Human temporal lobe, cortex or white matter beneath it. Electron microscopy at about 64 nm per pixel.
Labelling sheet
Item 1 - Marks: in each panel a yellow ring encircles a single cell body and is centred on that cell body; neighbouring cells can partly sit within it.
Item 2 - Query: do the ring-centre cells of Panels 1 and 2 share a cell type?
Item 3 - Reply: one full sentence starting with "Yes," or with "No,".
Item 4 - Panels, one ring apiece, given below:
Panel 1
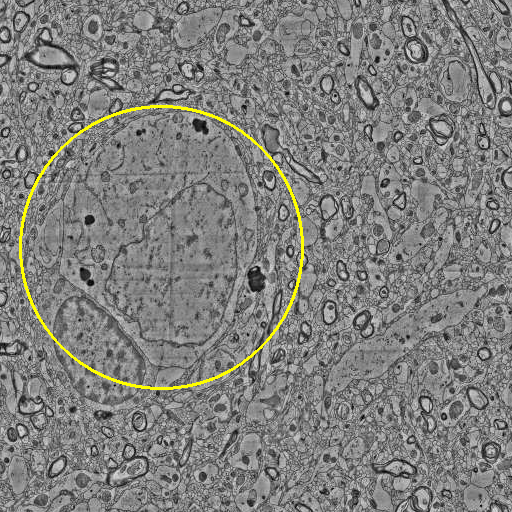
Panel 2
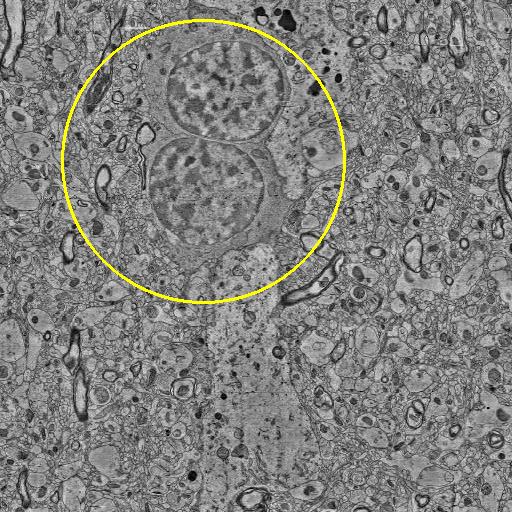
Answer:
No, Panel 1 and Panel 2 show two cell types at the centres of their rings.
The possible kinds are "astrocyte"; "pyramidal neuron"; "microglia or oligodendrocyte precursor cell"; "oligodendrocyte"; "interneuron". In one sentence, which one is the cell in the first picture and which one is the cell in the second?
The cell ringed in the second picture is an oligodendrocyte, whereas the one ringed in the first is a pyramidal neuron.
